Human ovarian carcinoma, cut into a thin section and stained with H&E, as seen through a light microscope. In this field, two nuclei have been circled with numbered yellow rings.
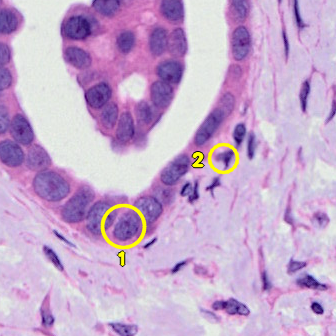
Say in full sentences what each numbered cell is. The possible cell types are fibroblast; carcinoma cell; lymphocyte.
Cell 1 is a carcinoma cell and cell 2 is a fibroblast.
